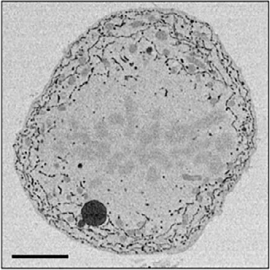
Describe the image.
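This electron micrograph shows a section through a single cell, seen whole, with a roughly oval outline. Many dark, membranous profiles crowd the edge of the cytoplasm and form a dense band just inside the cell border. The centre of the cell is paler and looks more uniformly grey. A dense, dark round body lies near the lower left edge.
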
